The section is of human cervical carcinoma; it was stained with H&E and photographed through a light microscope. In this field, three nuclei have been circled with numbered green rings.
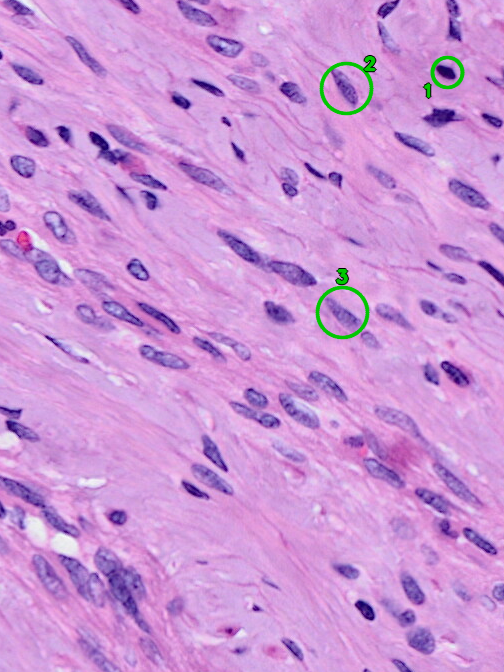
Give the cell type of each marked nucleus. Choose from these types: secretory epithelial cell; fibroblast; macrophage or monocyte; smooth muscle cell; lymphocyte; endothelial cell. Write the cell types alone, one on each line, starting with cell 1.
lymphocyte
fibroblast
fibroblast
